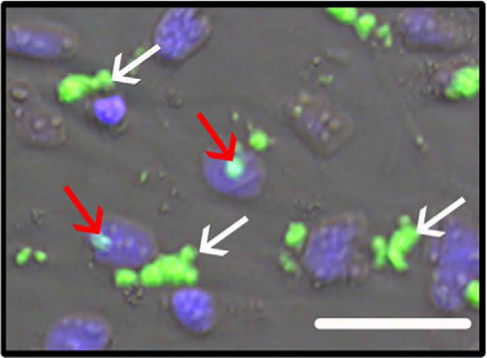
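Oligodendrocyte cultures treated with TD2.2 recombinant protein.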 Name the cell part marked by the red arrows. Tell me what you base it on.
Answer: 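Nuclear. Each red arrow points to a small green spot lying inside a blue, rounded body. The blue bodies are oval and roughly cell-nucleus sized.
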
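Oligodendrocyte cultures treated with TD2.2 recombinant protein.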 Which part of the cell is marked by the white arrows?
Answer: Cytosolic.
